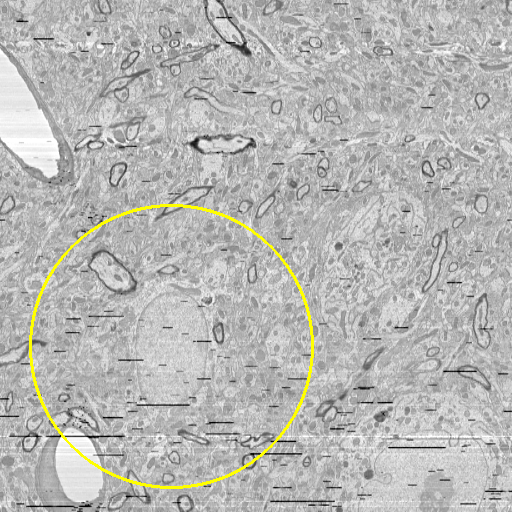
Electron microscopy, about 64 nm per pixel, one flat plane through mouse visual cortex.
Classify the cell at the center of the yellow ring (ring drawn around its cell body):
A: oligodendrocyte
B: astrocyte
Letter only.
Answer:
B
